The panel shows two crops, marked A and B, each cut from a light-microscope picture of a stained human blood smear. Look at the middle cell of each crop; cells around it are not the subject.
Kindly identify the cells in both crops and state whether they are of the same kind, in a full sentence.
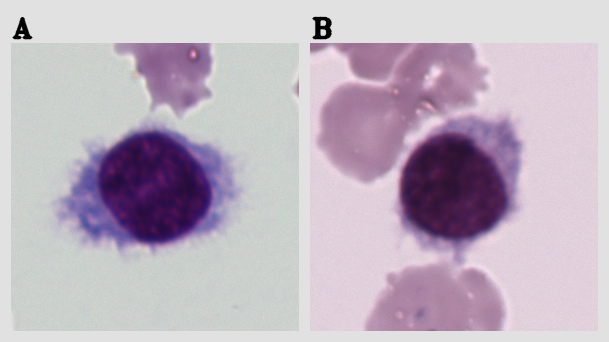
Yes, the centre of both crops is taken up by hairy cells.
